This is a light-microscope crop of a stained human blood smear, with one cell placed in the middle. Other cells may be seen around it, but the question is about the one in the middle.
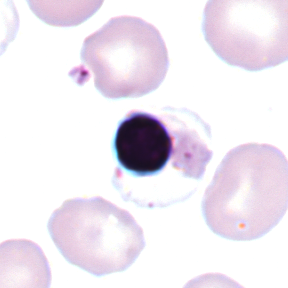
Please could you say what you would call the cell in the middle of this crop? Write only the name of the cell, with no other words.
normoblast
